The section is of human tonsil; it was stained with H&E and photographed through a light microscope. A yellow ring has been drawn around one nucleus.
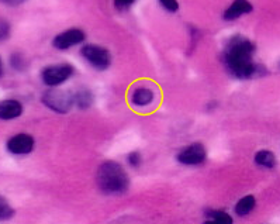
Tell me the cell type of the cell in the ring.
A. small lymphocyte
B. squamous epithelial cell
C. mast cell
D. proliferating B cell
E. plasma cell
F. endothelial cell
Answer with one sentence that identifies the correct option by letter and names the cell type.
Option C is the correct one: the cell in the ring is a mast cell.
